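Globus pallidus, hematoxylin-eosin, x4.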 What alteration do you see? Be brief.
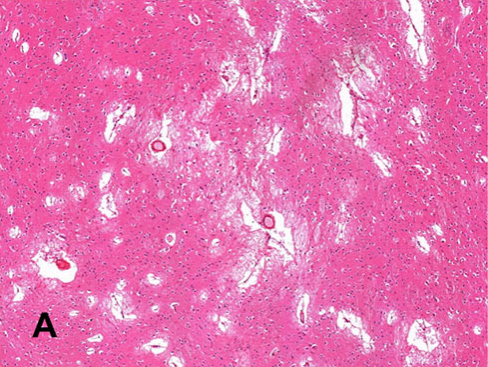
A: Widening of perivascular spaces.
